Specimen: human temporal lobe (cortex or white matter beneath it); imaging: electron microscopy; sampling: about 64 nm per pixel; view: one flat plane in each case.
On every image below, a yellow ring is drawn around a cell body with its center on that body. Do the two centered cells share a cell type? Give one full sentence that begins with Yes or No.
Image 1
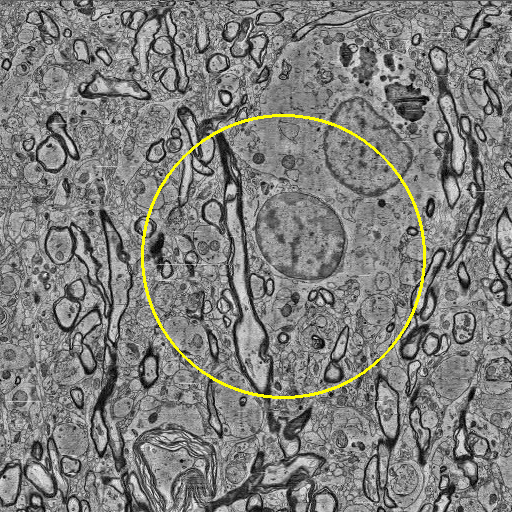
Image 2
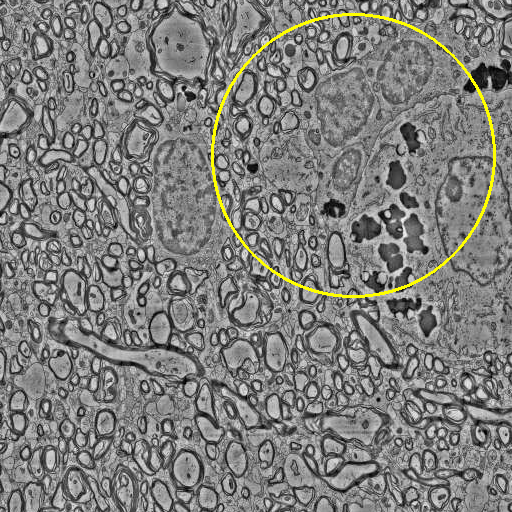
No, the centered cells in the two images are of two separate cell types.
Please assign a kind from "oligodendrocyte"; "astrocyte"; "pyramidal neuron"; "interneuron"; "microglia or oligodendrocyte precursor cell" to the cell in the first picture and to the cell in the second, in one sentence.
In the first picture we have a microglial cell or oligodendrocyte precursor cell, and in the second, an oligodendrocyte.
